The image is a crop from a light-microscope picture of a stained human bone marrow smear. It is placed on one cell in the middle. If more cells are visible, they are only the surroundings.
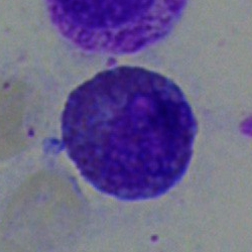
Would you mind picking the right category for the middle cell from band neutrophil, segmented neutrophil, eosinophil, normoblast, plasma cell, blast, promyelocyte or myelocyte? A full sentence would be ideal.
On this slide crop, the central cell is an eosinophil.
